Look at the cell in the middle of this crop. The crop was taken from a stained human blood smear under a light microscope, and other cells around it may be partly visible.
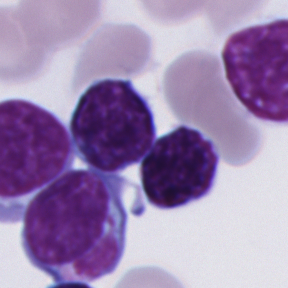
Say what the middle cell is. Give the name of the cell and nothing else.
myeloblast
